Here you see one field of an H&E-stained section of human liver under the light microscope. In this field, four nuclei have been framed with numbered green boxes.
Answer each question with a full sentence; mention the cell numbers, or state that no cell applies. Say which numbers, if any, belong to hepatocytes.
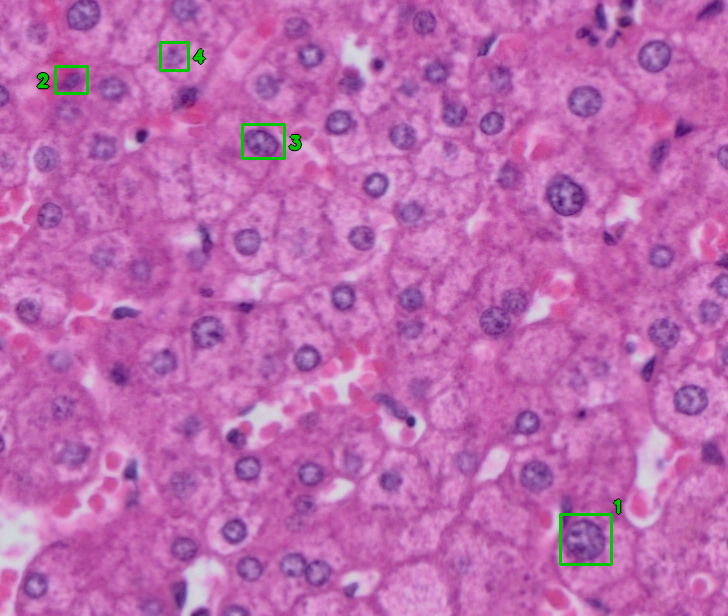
The cells which carry the numbers 1, 3 and 4 are hepatocytes.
